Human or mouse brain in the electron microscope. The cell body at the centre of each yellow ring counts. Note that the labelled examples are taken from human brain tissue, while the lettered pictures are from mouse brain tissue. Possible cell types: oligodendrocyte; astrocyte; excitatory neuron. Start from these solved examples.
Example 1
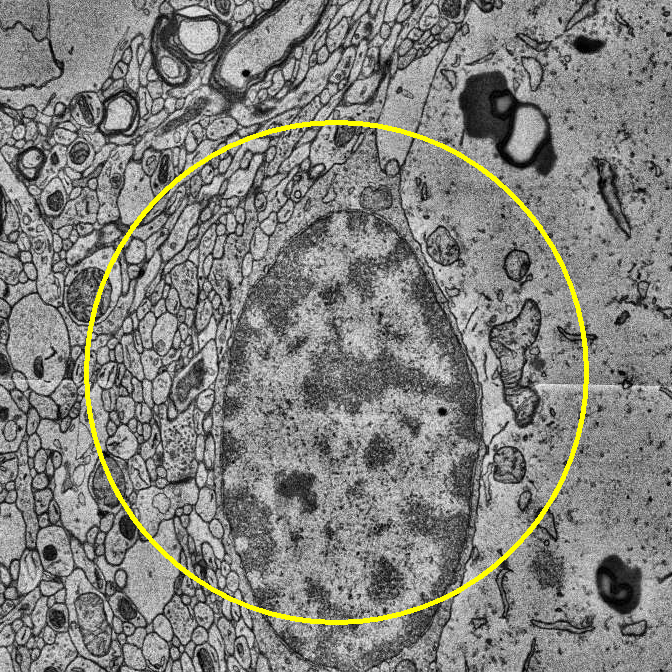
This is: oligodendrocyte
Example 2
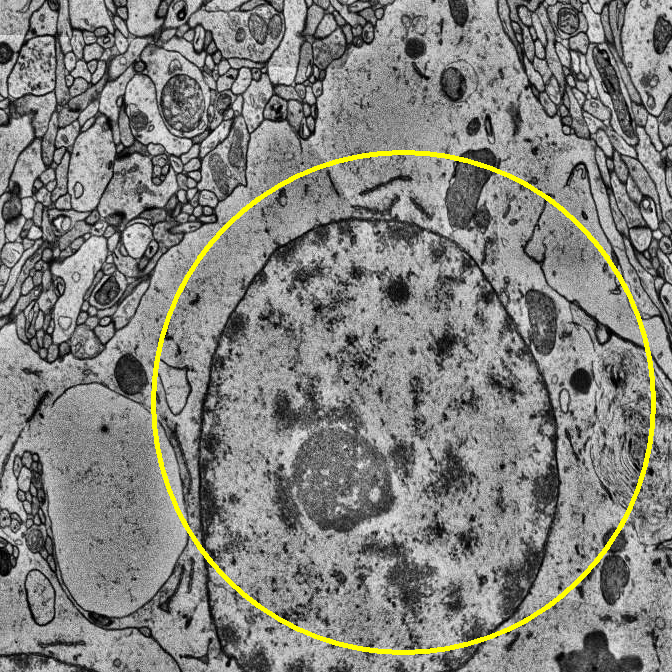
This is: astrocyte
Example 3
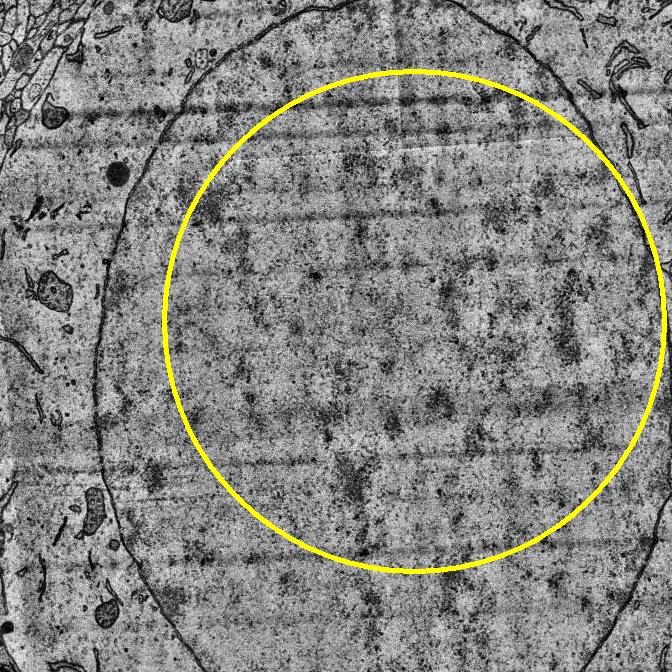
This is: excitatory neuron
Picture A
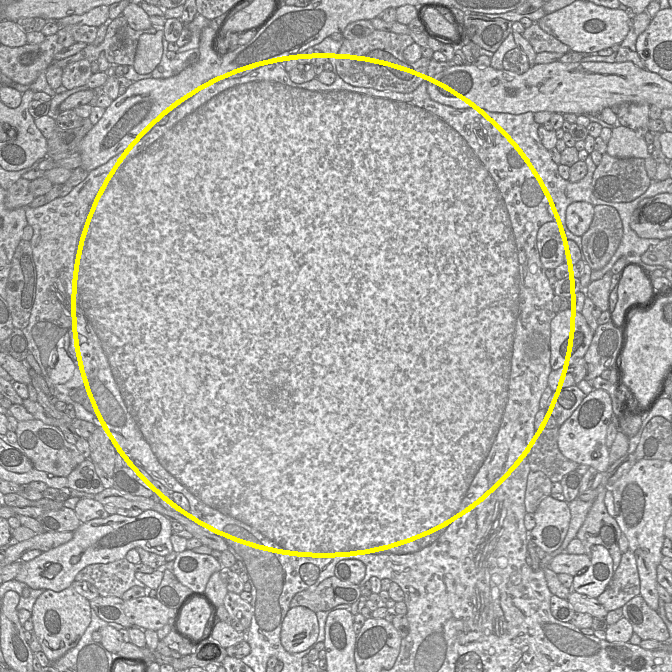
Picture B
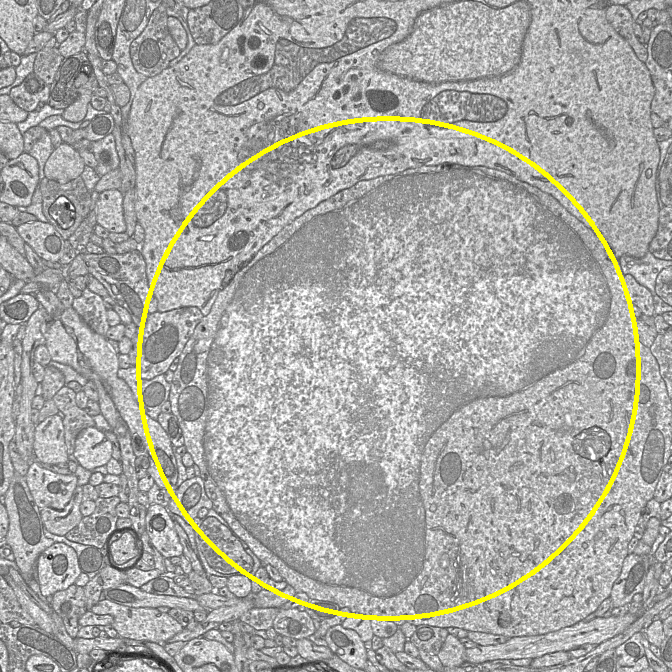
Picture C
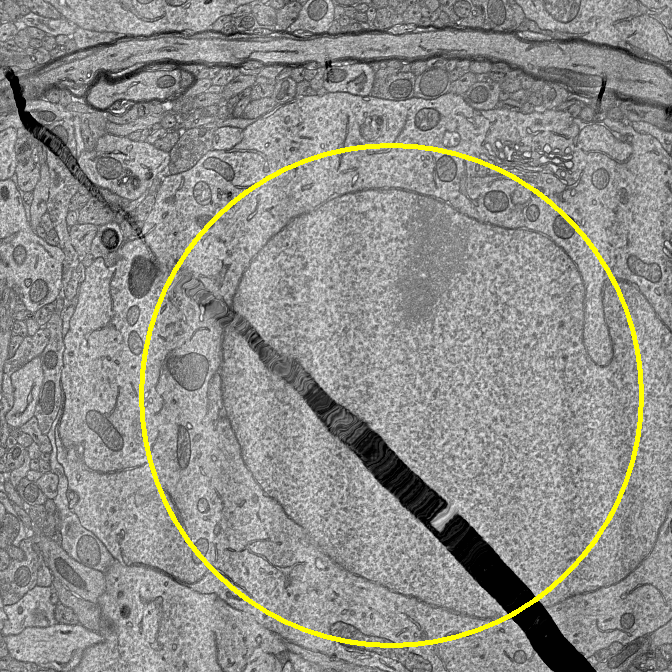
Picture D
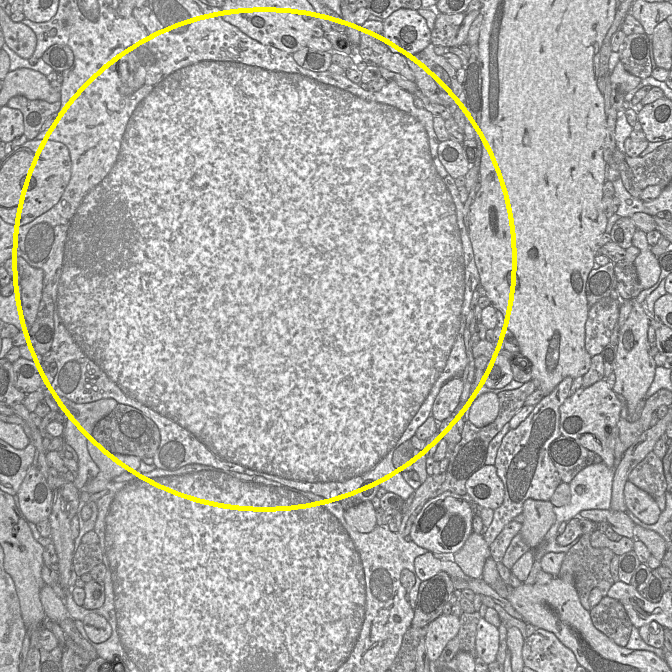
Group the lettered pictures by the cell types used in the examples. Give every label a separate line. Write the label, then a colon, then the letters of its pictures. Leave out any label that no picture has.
oligodendrocyte: B
astrocyte: A, D
excitatory neuron: C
